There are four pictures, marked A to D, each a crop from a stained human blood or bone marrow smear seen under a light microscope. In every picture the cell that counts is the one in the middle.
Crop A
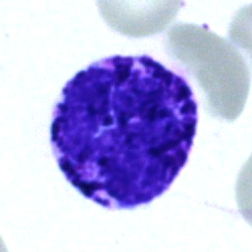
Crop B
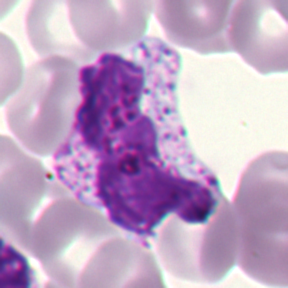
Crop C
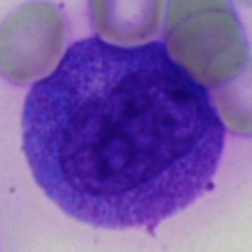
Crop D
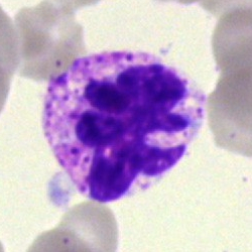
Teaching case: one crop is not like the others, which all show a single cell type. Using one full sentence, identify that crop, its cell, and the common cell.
While crop C shows a promyelocyte, the other crops all show basophils.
